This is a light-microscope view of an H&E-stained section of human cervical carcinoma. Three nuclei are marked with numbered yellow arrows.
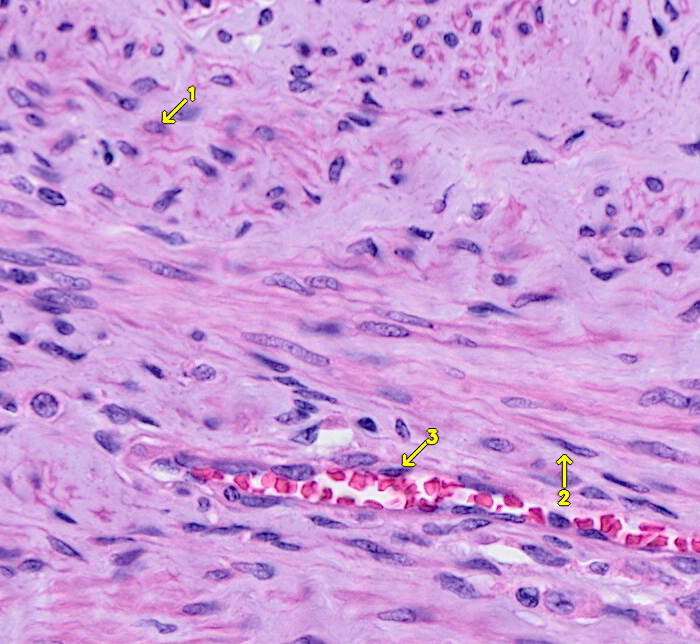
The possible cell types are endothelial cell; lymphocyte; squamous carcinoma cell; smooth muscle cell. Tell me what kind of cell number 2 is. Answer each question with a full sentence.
The correct label for cell 2 is a smooth muscle cell.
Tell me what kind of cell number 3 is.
The cell that carries the label 3 is an endothelial cell.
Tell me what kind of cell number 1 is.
In this section, the cell numbered 1 is a smooth muscle cell.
